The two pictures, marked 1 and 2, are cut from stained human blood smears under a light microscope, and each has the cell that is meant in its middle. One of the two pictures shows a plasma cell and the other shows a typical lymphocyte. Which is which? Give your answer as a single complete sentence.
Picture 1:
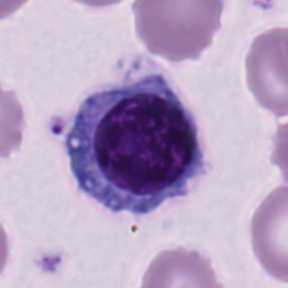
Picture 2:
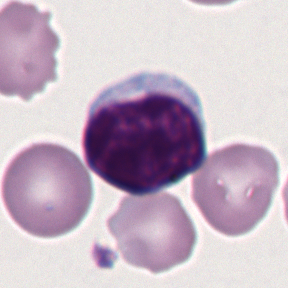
Picture 2 shows a typical lymphocyte, while picture 1 shows a plasma cell.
